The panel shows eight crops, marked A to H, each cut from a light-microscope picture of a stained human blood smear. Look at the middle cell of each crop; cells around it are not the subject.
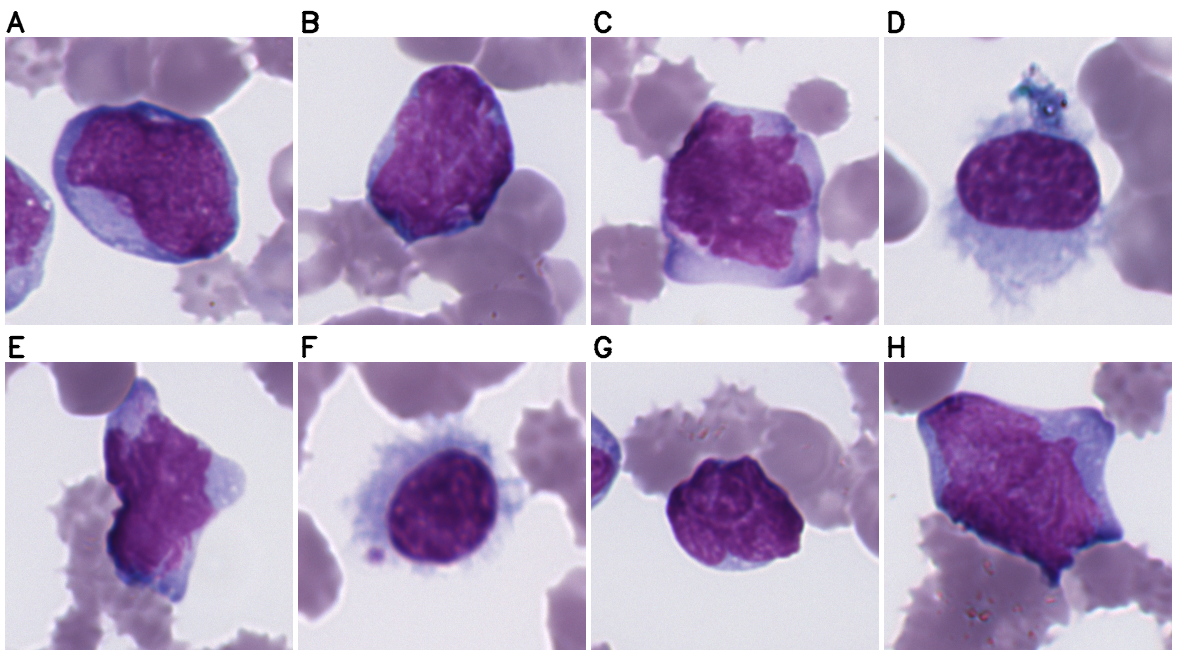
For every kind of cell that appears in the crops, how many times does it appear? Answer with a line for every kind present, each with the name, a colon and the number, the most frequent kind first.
myeloblast: 6
hairy cell: 2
